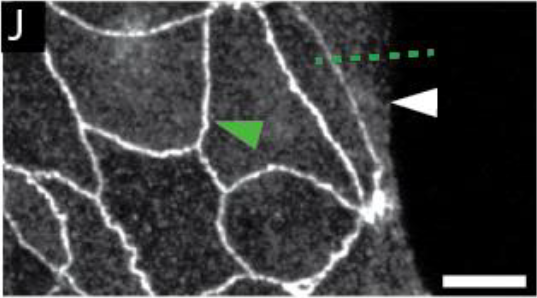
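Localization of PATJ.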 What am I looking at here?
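This is a flat view of an epithelial cell sheet where a fine bright line traces the border of every cell, drawing a network of polygonal outlines; the cell interiors are dim and faintly grainy. The outlines are sharp and continuous, marking where neighbouring cells touch, so the label sits at the cell-cell adhesions rather than in the cytoplasm, with no particular enrichment along the free edge.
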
